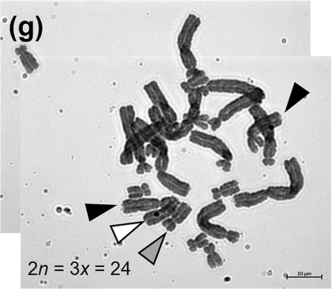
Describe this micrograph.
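A spread of condensed chromosomes stained dark grey to black on a pale background. The chromosomes are separate, rod-shaped bodies of clearly different lengths: a set of long, often bent chromosomes and a set of much shorter ones. Many show a narrowed region where the two arms meet.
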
